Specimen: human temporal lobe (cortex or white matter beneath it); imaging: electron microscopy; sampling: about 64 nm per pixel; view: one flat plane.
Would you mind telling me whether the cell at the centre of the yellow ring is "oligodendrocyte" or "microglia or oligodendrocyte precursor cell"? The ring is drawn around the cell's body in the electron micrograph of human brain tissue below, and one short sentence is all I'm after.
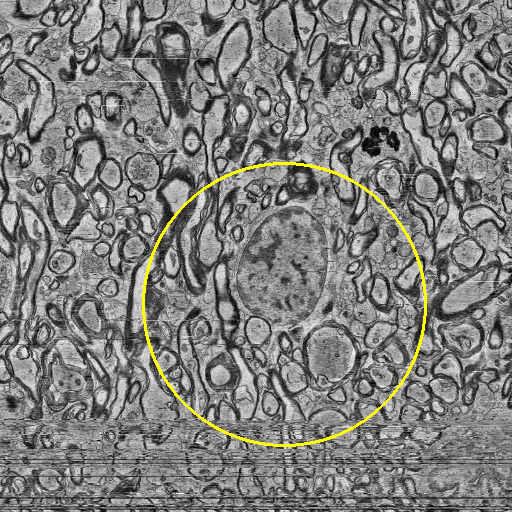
In the centre of the ring lies a microglial cell or oligodendrocyte precursor cell.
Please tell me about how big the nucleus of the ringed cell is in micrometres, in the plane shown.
The nucleus is approximately 8 micrometers long by 6 micrometers wide in this plane.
